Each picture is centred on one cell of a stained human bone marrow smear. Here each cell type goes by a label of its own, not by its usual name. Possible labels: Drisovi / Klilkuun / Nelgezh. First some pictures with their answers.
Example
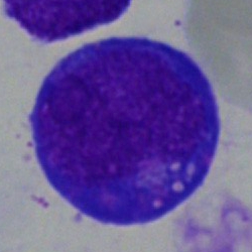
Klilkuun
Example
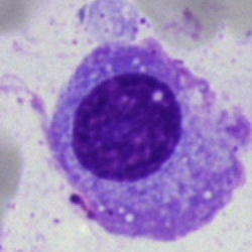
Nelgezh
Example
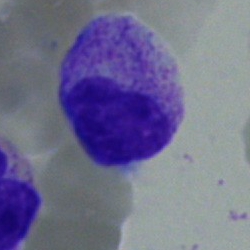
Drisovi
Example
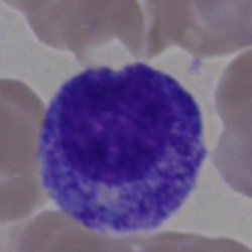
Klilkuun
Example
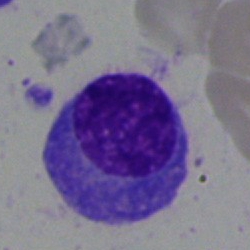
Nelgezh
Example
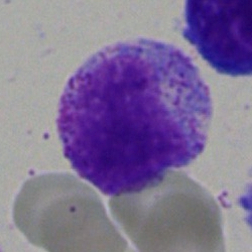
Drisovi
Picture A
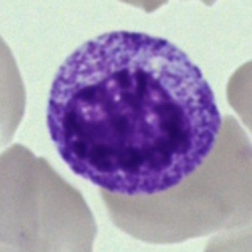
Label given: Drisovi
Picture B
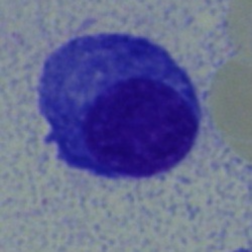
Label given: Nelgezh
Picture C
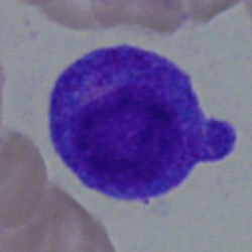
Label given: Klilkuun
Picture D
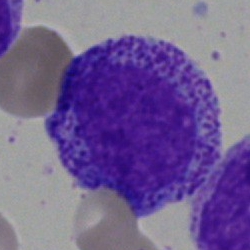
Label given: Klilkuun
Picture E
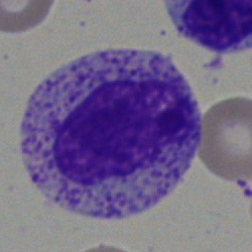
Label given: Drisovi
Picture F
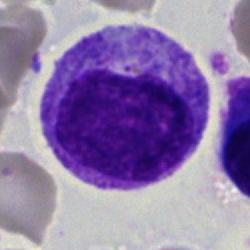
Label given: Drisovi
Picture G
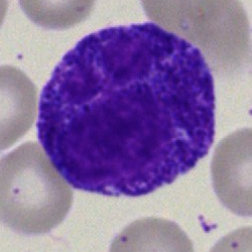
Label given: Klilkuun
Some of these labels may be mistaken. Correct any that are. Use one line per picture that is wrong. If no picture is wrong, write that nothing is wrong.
D: change Klilkuun to Drisovi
